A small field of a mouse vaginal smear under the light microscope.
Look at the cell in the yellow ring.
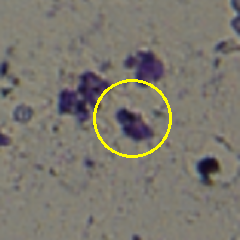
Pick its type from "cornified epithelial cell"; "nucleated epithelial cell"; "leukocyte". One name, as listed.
leukocyte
